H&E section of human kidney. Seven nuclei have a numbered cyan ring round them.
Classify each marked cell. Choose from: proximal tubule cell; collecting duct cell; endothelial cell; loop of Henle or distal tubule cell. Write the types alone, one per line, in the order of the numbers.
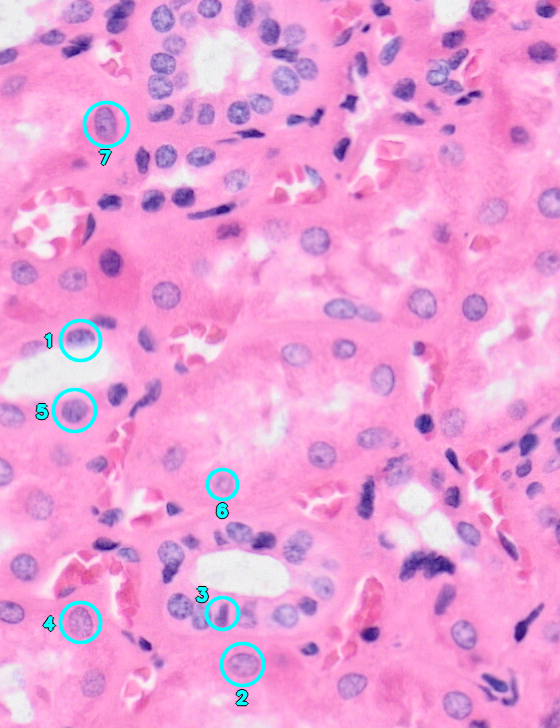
loop of Henle or distal tubule cell
proximal tubule cell
collecting duct cell
proximal tubule cell
loop of Henle or distal tubule cell
proximal tubule cell
proximal tubule cell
